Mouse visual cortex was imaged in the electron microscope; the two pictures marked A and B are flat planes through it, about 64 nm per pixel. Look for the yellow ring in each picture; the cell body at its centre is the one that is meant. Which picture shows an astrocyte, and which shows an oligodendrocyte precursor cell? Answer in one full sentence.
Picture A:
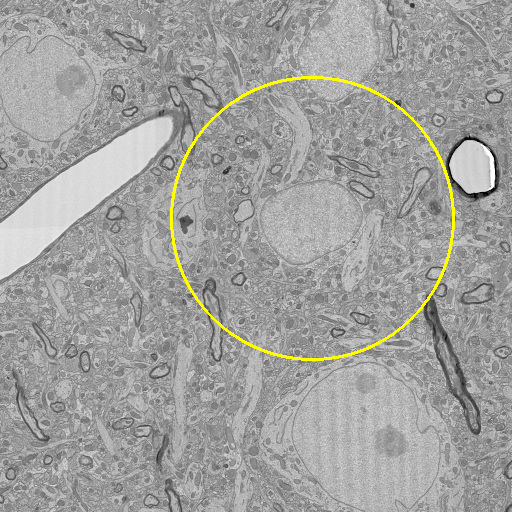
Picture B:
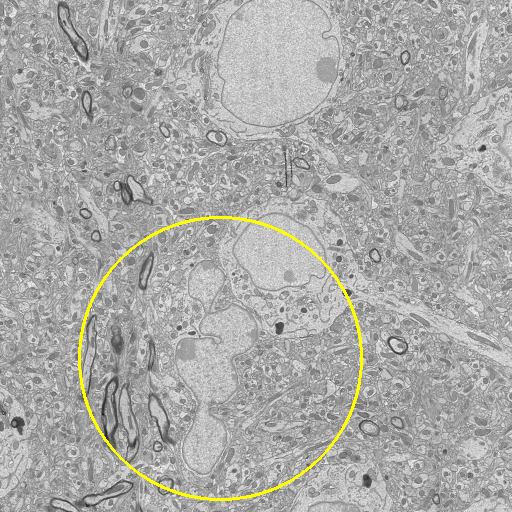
Picture A is of an astrocyte, and picture B is of an oligodendrocyte precursor cell.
